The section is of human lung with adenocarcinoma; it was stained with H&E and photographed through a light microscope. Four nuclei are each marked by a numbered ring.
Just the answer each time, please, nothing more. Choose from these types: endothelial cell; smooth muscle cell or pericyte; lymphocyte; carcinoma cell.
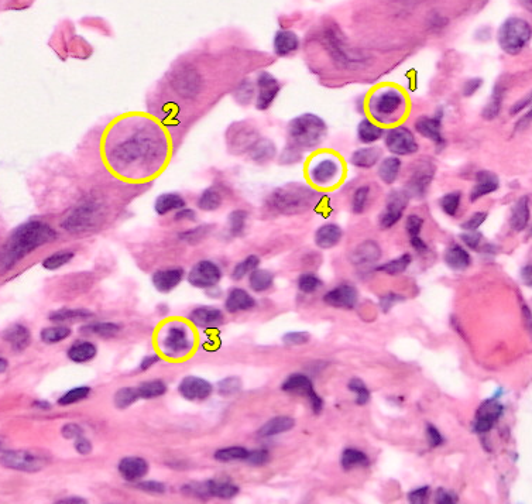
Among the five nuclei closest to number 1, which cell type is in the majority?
lymphocyte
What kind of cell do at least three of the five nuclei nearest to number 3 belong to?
lymphocyte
